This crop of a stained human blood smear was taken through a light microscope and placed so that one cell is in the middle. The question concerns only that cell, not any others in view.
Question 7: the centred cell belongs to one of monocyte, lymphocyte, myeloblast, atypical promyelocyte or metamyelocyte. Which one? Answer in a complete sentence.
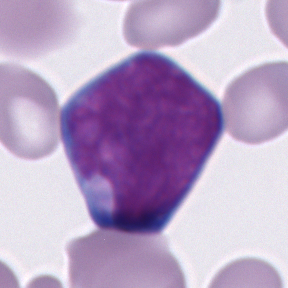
The cell sitting right in the middle is a myeloblast.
